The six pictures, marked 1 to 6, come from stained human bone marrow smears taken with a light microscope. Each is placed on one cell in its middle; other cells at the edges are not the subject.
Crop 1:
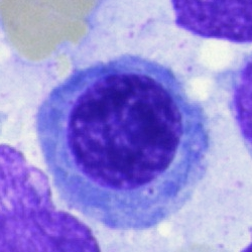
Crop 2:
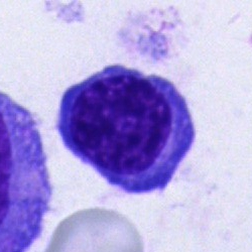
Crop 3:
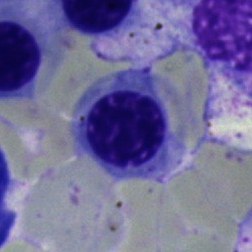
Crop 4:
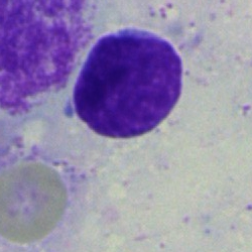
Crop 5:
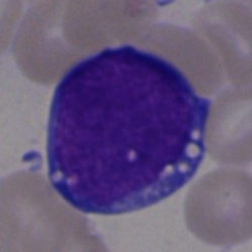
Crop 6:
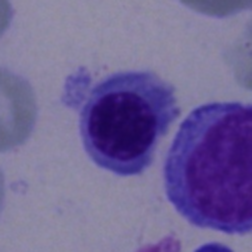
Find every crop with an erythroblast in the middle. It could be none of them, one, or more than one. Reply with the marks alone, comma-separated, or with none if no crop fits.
1, 2, 3, 6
